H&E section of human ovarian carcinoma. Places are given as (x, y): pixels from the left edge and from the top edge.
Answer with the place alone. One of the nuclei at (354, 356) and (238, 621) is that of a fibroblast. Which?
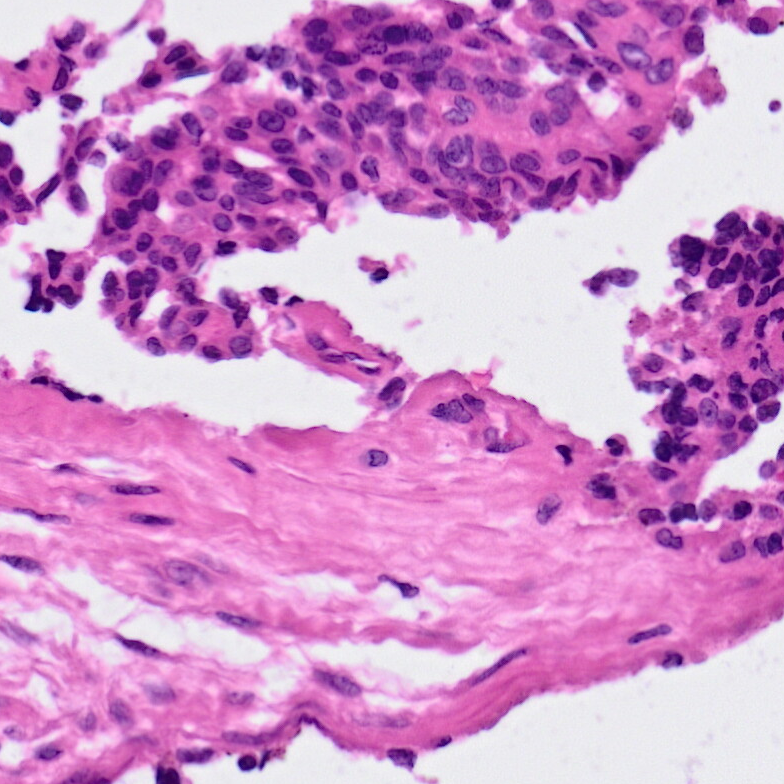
(238, 621)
